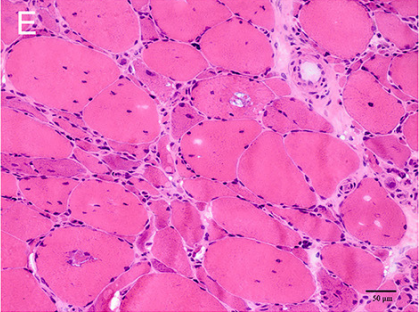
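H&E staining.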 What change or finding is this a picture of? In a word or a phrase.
groups of small angular atrophic muscle fibers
